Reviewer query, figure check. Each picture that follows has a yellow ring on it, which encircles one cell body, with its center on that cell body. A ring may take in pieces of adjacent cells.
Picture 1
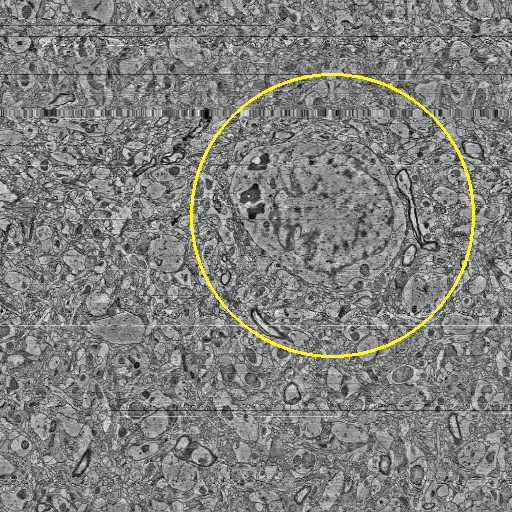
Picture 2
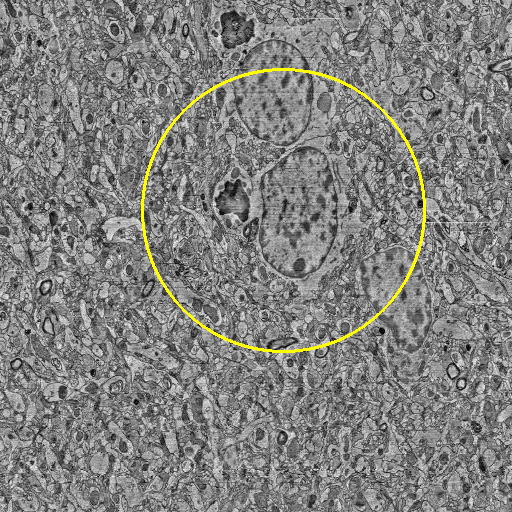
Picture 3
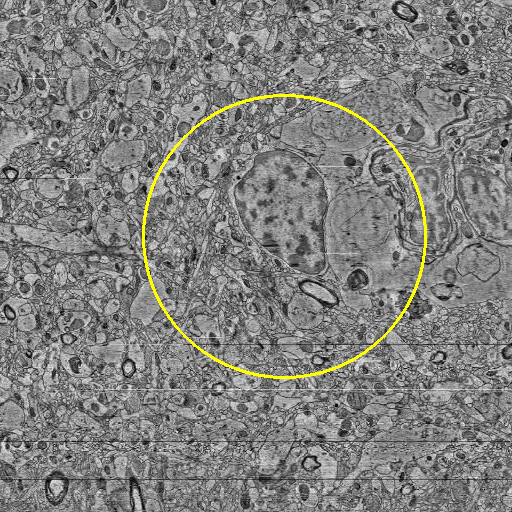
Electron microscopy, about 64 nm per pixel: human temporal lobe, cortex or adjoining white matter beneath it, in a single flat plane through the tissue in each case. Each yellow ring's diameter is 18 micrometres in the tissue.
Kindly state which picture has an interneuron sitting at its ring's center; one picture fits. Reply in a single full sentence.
In picture 1, the cell at the center of the ring is the requested one.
